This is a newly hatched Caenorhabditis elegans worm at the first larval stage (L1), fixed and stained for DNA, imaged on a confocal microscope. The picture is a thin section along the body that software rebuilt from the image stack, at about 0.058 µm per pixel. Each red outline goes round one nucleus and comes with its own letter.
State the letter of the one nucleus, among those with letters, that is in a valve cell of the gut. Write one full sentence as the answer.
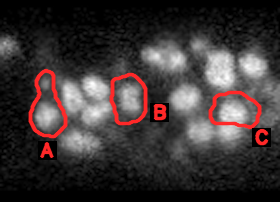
A is the one that belongs to a valve cell of the gut.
